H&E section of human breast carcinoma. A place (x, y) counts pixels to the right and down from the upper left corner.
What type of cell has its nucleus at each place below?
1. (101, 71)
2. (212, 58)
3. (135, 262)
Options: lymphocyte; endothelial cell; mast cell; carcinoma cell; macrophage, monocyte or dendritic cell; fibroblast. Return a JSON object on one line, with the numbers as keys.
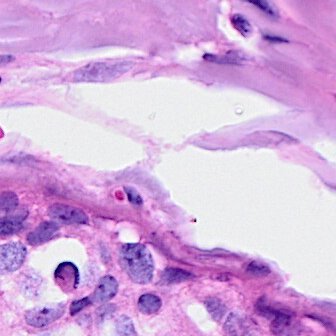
{"1": "fibroblast", "2": "fibroblast", "3": "carcinoma cell"}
